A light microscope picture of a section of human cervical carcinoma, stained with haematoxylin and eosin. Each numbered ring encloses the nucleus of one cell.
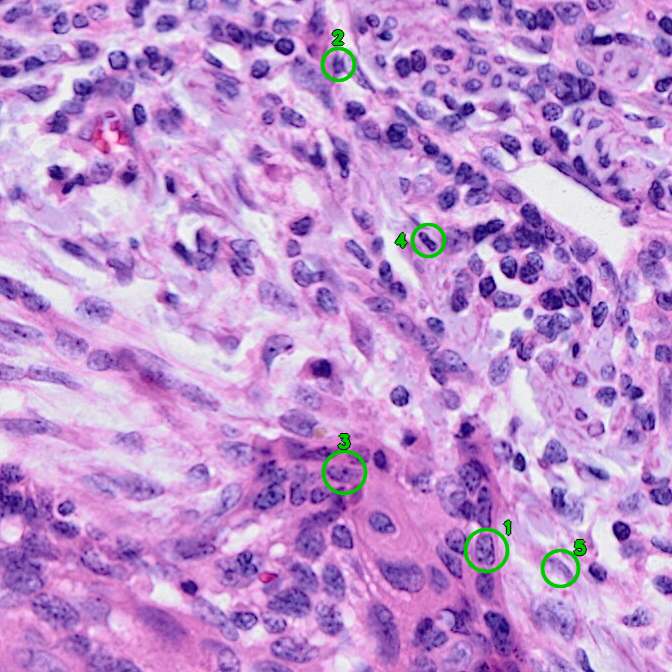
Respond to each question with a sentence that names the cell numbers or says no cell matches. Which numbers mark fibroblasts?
Of the cells marked with numbers, cell 5 is the only one that is a fibroblast.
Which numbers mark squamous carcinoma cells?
The cells which carry the numbers 1 and 3 are squamous carcinoma cells.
